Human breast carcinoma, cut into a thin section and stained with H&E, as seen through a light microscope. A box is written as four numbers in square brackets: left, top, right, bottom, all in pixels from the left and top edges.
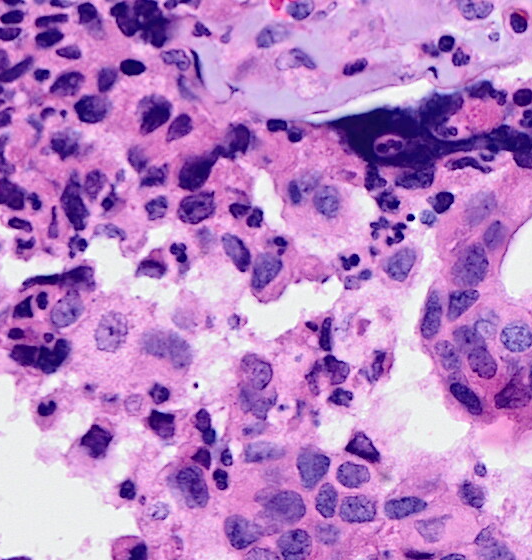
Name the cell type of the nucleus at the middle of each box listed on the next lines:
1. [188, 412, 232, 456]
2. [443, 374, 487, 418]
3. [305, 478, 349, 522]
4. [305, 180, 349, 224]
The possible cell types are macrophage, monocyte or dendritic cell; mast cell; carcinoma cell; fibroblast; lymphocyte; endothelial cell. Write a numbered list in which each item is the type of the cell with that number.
1. lymphocyte
2. carcinoma cell
3. carcinoma cell
4. carcinoma cell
